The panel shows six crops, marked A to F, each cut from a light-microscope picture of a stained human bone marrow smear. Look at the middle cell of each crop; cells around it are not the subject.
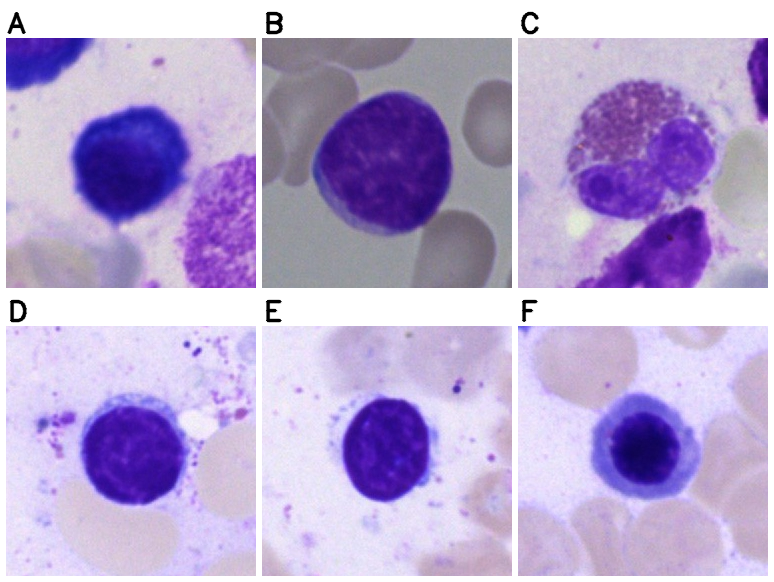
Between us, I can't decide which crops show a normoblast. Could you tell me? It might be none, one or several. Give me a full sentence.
Shown in crop F and in no other crop is a normoblast.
